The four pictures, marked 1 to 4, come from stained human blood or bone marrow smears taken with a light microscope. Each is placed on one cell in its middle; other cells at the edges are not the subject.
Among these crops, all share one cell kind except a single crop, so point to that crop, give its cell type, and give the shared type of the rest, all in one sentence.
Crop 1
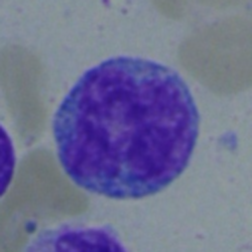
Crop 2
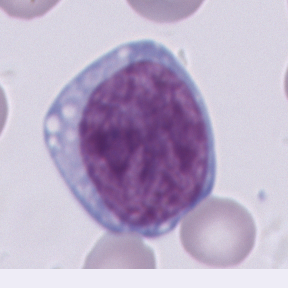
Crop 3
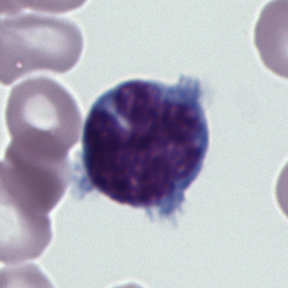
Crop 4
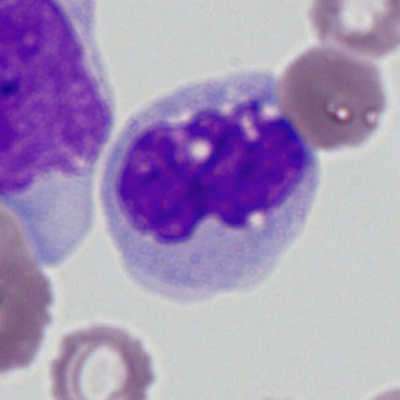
Crop 2 is the only crop with a blast, the others all showing monocytes.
